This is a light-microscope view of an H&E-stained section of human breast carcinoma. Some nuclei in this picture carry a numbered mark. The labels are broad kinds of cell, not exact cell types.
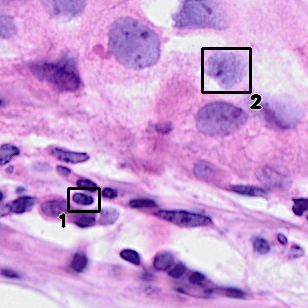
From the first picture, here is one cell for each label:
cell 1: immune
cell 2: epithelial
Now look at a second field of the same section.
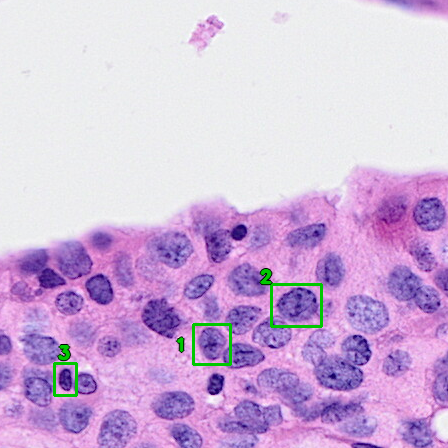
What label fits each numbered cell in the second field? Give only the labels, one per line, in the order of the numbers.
epithelial
epithelial
immune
